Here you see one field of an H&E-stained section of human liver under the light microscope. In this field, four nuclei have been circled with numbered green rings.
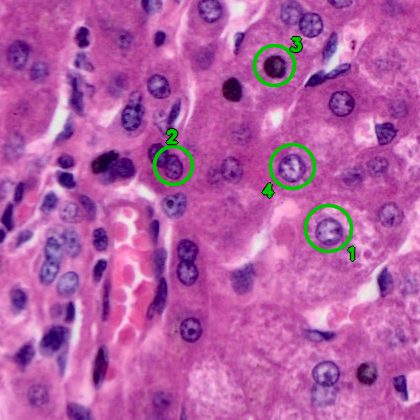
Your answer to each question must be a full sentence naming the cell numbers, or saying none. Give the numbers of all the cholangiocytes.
Cell 2 represents a cholangiocyte, and no other numbered cell does.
